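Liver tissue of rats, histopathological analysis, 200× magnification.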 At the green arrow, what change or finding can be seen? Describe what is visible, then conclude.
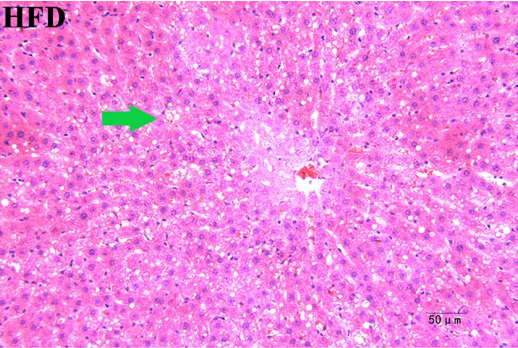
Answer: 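Lipid droplet vacuoles. Round, clear, unstained holes sit within the pink cytoplasm of the liver cells. Such clear round spaces are scattered through many cells of the panel. The nuclei of the affected cells stay round and dark purple.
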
